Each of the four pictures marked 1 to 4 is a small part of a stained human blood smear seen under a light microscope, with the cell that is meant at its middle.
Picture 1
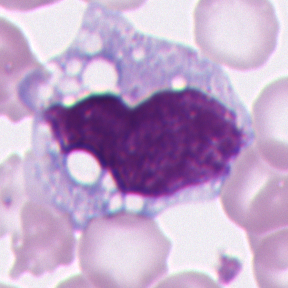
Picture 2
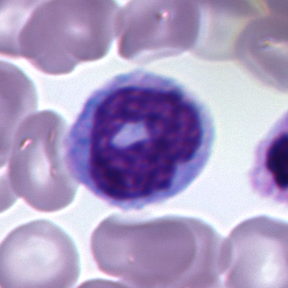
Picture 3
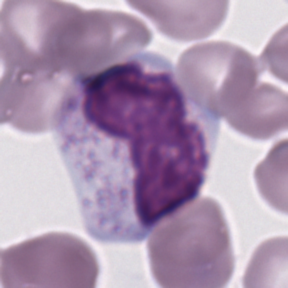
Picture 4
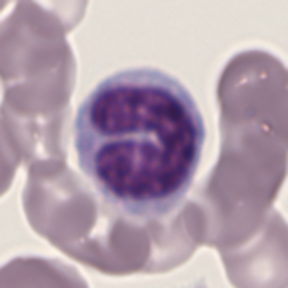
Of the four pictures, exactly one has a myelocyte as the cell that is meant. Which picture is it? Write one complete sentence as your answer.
The cell in picture 3 is the myelocyte.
